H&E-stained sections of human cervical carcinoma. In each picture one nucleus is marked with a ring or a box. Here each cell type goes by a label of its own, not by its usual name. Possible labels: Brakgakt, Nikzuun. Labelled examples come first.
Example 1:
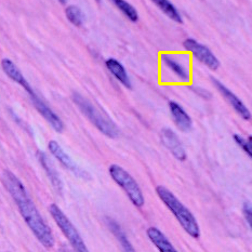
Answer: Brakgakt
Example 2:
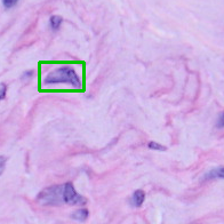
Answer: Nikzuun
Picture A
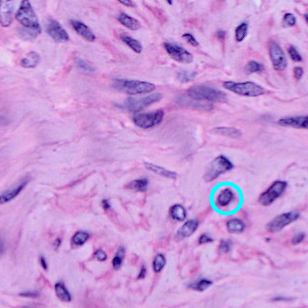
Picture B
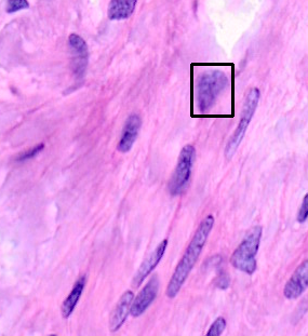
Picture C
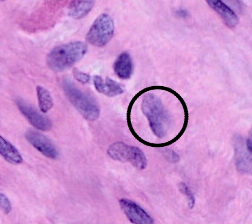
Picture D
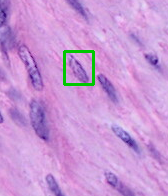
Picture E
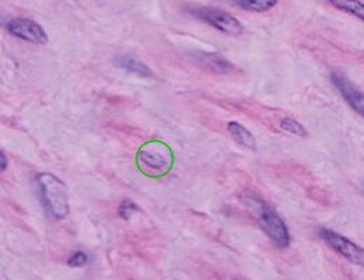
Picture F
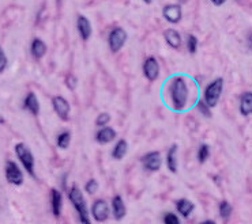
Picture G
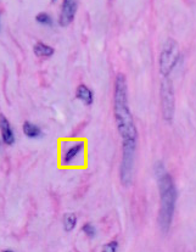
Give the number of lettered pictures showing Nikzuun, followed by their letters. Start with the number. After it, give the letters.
5: A, D, E, F, G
